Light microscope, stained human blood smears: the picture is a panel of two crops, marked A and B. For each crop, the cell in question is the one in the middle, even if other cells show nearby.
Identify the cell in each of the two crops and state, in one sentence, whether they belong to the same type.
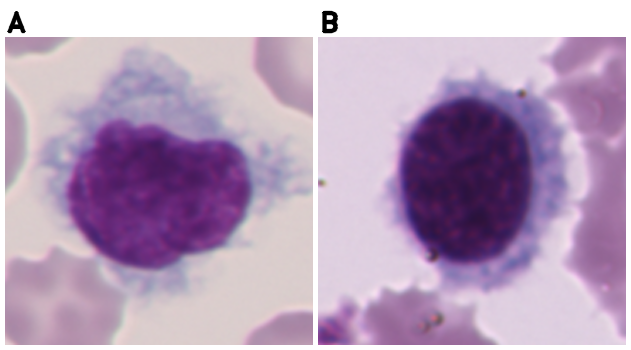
Yes, in both of the crops, the central cells are hairy cells.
